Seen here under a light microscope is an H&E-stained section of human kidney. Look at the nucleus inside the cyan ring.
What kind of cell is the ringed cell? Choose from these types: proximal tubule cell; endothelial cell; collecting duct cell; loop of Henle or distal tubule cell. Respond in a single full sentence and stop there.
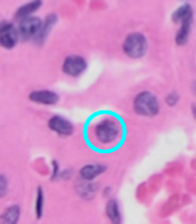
In the tissue at hand, the ringed cell is a loop of Henle or distal tubule cell.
